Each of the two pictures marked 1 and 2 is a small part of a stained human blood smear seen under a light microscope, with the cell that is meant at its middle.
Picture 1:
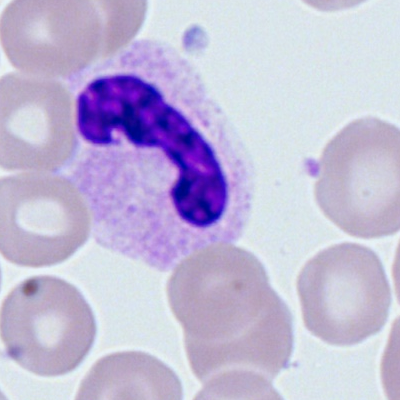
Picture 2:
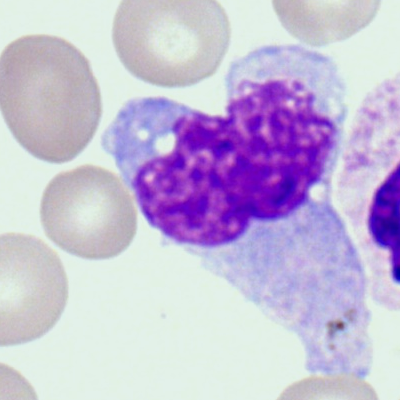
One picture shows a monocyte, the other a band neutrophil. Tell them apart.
1: band neutrophil
2: monocyte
